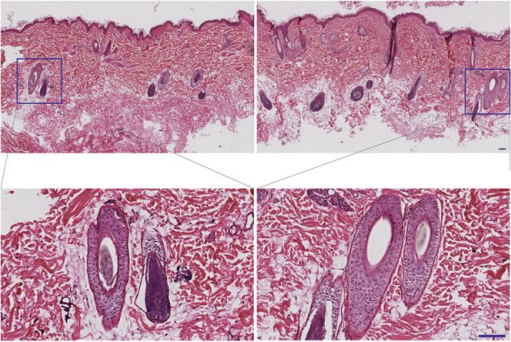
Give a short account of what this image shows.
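These are sections of skin in which the dermis holds several hair follicles, cut obliquely and across. A thin, deep purple epidermis runs along the upper surface, and beneath it lies a broad dermis of pink, wavy collagen bundles with looser, paler tissue deeper down. The hair follicles appear as purple, nucleated epithelial sheaths, oval or elongated, each enclosing a central hair shaft that looks pale or clear in cross-section. In the enlarged views the follicle wall is made of several layers of closely packed epithelial cells with small dark nuclei, surrounded by the pink connective tissue. Follicles in the right-hand section look larger and reach deeper into the dermis than those on the left.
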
